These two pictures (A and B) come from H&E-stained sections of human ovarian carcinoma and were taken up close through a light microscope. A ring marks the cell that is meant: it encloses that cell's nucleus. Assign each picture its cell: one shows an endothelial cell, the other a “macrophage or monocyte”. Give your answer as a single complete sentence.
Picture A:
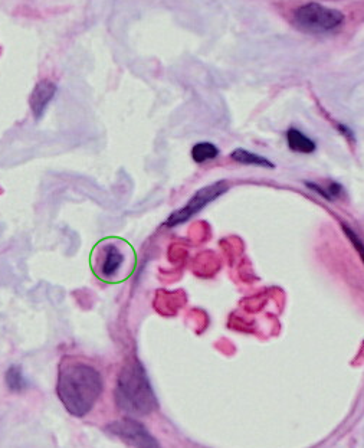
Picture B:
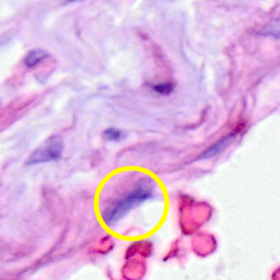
Picture A is of a “macrophage or monocyte”, and picture B is of an endothelial cell.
